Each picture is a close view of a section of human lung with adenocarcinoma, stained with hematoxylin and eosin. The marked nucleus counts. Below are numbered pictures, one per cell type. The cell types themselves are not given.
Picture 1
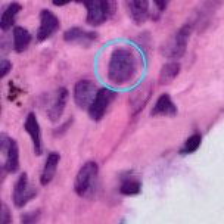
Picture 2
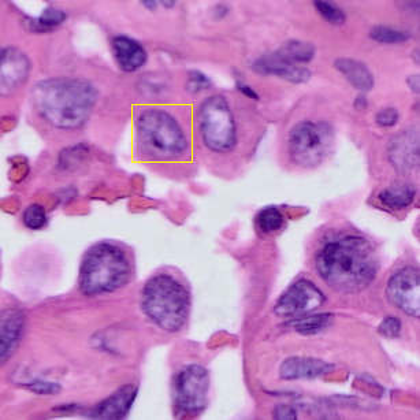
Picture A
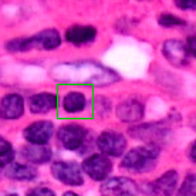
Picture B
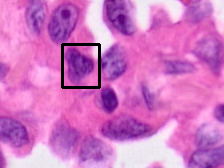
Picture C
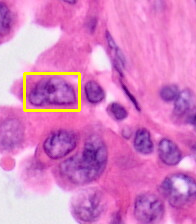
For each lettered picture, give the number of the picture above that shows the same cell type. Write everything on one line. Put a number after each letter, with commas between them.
A 1, B 2, C 2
